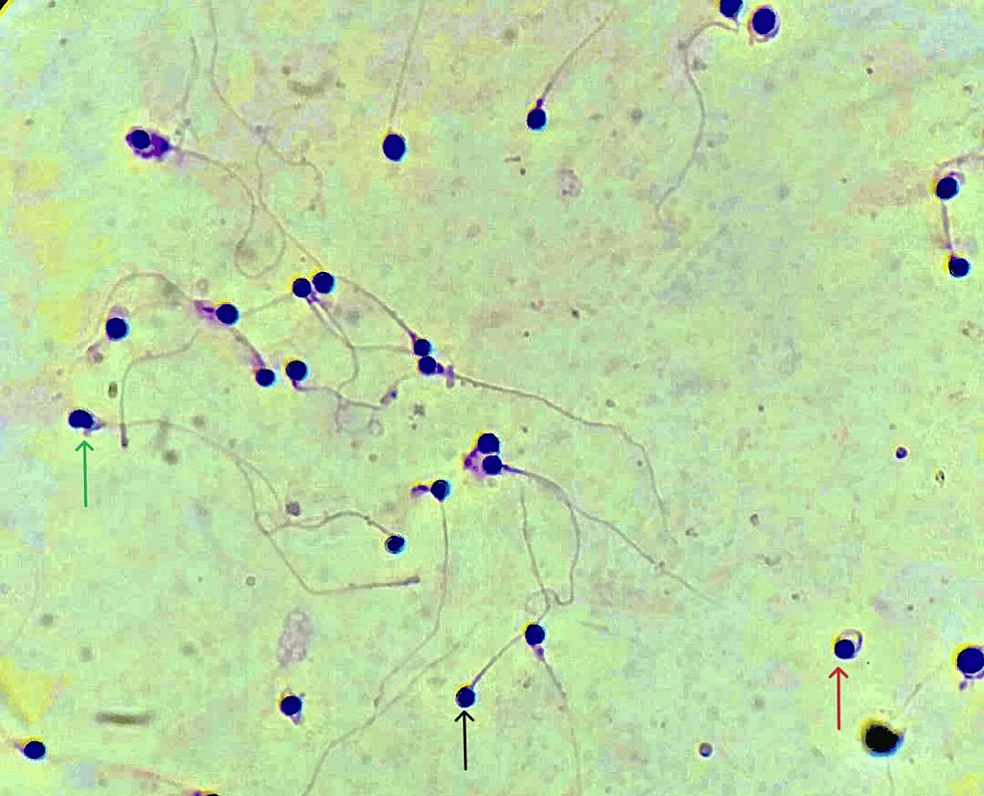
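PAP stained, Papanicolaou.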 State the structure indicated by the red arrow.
Coiled flagellum.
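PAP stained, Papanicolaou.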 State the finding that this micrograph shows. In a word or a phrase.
Globozoospermia.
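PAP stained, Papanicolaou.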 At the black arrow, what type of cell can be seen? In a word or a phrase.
Round-headed spermatozoa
